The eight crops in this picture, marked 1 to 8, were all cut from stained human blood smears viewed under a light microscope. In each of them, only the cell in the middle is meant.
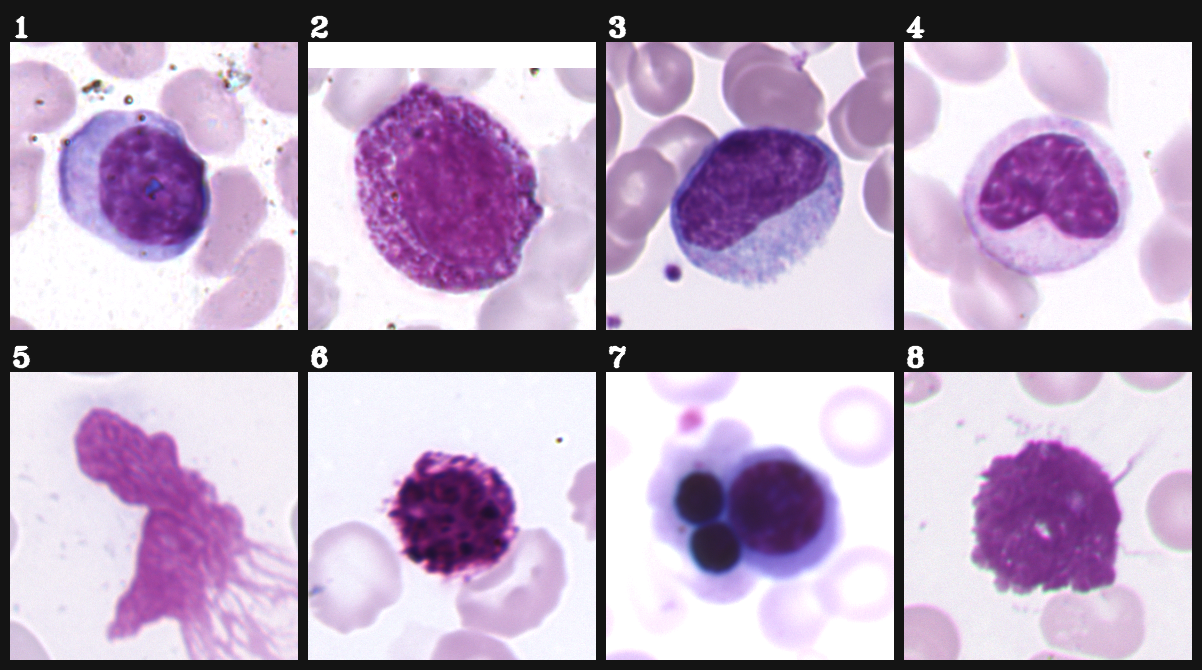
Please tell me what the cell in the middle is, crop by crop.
1: plasma cell
2: promyelocyte
3: monocyte
4: metamyelocyte
5: smudge cell
6: basophil
7: normoblast
8: smudge cell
